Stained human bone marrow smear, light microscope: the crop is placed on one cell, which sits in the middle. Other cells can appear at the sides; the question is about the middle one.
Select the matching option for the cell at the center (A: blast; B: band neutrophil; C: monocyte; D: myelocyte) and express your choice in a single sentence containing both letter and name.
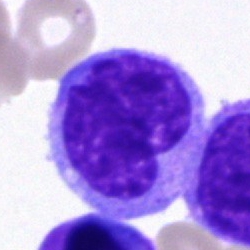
The correct response is option C, naming the cell in the middle as a monocyte.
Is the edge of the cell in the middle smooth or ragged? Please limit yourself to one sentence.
Its surface contour departs from smoothness through ragged edges or outward projections.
